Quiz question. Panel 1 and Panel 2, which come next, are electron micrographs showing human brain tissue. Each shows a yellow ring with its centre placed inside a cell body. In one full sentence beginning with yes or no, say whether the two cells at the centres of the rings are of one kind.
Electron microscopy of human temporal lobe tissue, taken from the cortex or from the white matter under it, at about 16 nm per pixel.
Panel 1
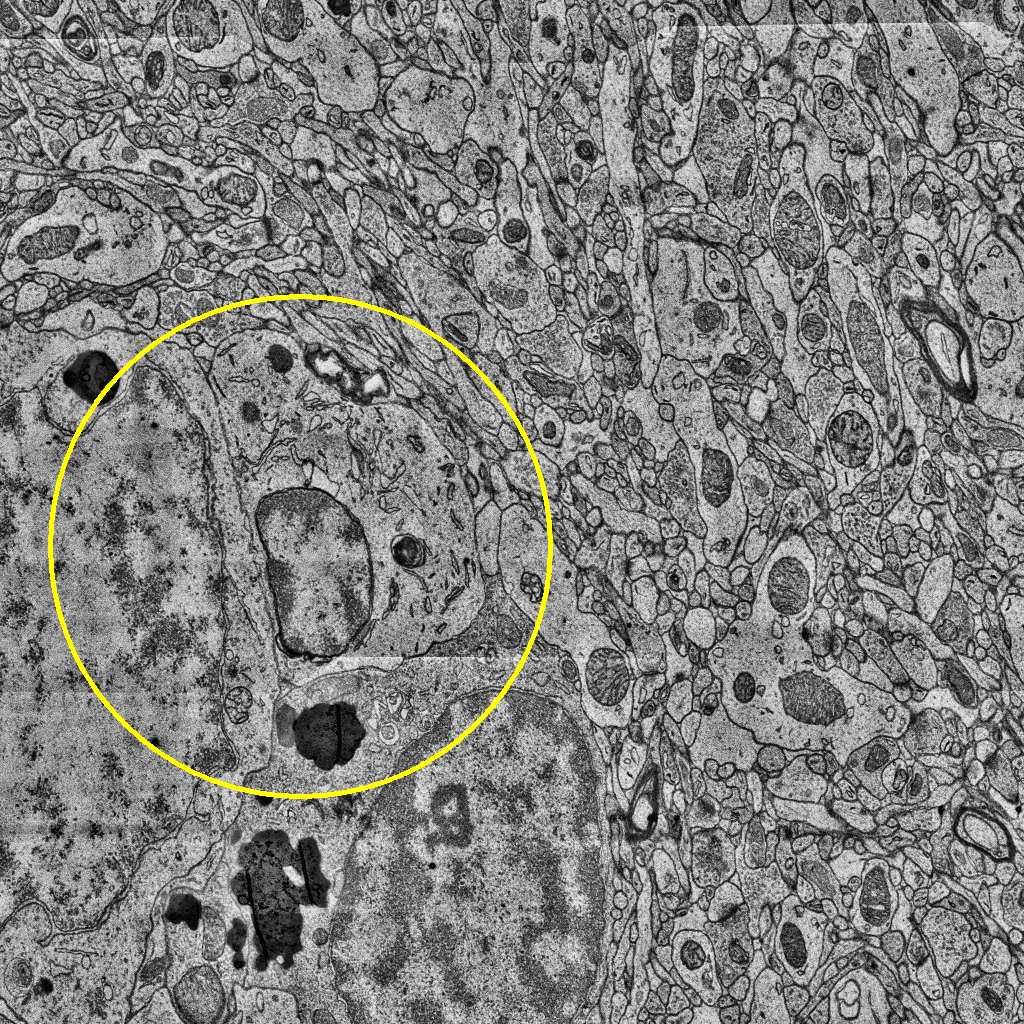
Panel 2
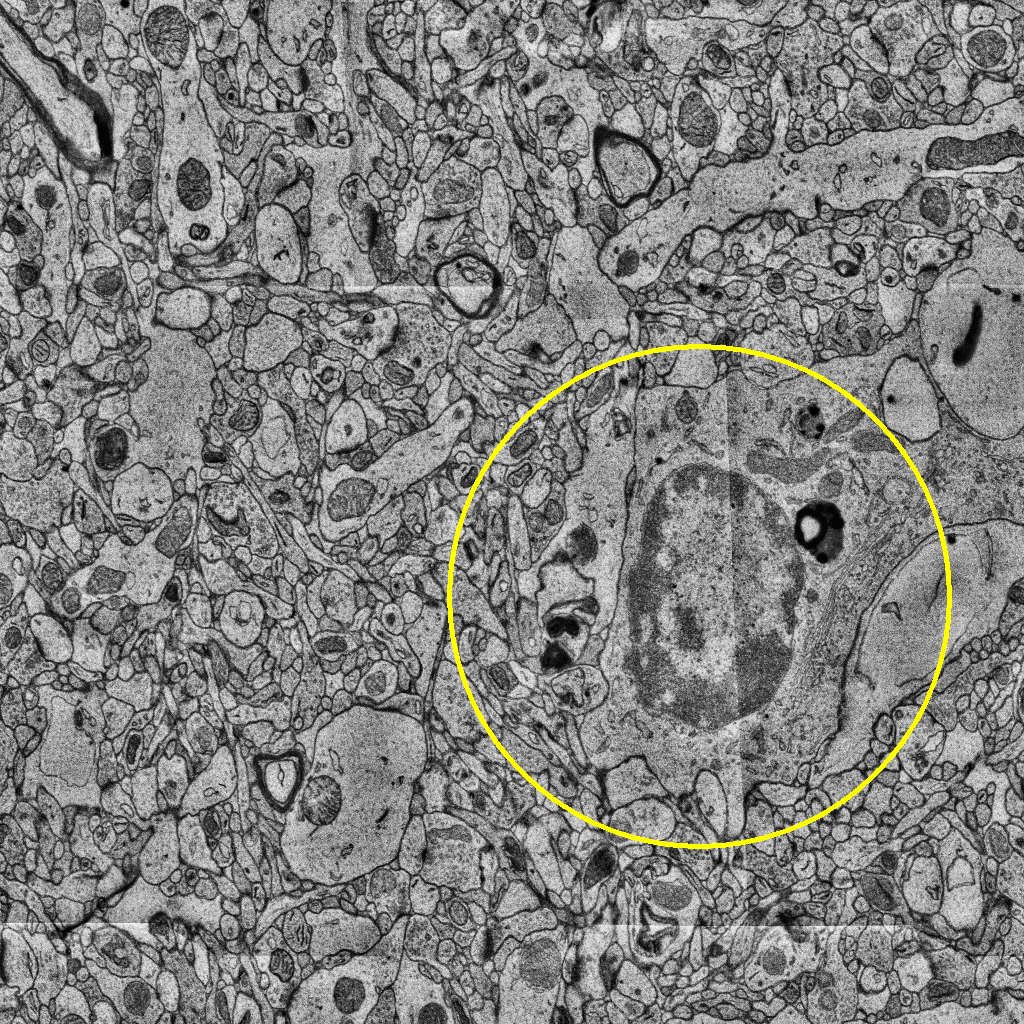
Yes, Panel 1 and Panel 2 show one kind of cell at the centre of the ring.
